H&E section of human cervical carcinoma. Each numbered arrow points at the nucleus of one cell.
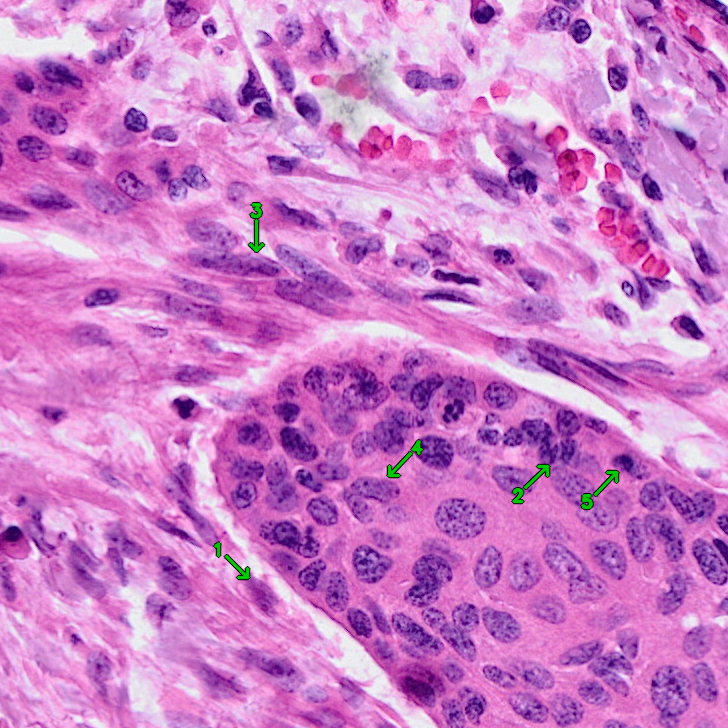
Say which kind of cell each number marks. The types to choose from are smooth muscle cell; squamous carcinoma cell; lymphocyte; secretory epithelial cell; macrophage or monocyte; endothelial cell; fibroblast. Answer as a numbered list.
1. fibroblast
2. squamous carcinoma cell
3. fibroblast
4. squamous carcinoma cell
5. squamous carcinoma cell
